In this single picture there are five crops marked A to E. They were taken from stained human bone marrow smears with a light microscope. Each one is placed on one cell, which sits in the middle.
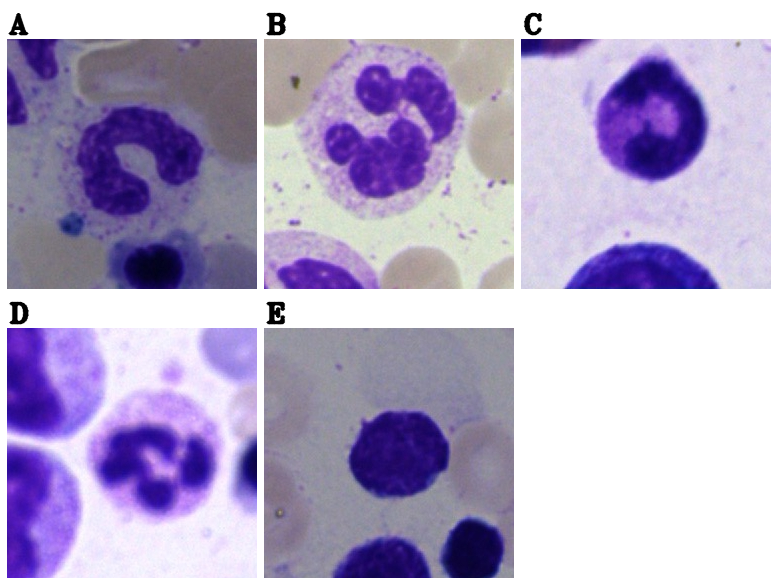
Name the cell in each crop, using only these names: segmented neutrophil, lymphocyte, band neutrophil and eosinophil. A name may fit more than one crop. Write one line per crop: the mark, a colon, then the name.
A: band neutrophil
B: segmented neutrophil
C: band neutrophil
D: segmented neutrophil
E: lymphocyte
